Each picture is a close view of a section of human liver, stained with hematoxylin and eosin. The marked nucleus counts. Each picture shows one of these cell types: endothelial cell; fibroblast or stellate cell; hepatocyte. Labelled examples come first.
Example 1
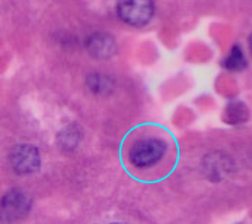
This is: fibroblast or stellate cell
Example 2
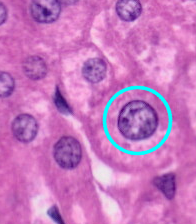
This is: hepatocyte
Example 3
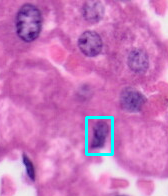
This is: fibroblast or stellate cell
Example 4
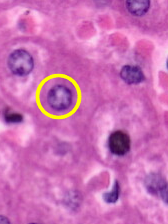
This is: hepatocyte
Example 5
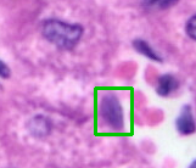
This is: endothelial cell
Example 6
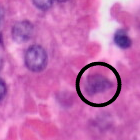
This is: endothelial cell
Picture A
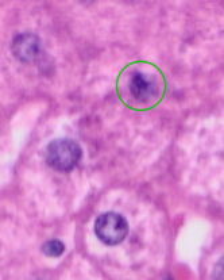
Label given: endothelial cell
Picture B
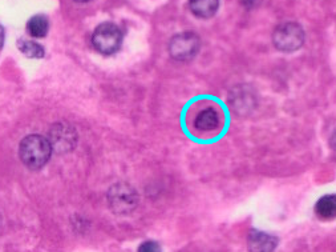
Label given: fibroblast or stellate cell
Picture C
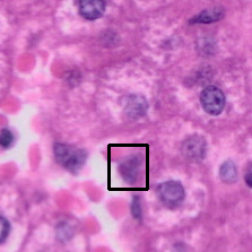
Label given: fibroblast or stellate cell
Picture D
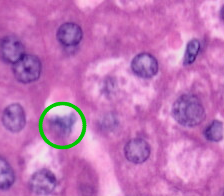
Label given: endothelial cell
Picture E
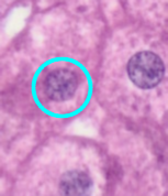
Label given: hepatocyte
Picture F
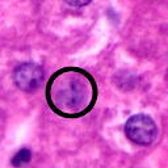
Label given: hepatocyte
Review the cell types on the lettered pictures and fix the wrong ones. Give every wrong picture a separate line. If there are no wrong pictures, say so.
Wrong: C (fibroblast or stellate cell); correct: endothelial cell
